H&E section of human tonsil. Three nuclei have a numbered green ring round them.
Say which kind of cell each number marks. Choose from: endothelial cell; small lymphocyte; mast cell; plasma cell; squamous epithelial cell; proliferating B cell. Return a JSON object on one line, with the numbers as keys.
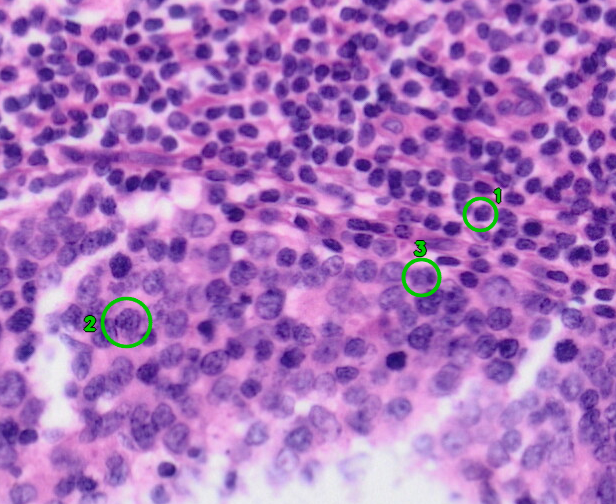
{"1": "small lymphocyte", "2": "proliferating B cell", "3": "proliferating B cell"}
